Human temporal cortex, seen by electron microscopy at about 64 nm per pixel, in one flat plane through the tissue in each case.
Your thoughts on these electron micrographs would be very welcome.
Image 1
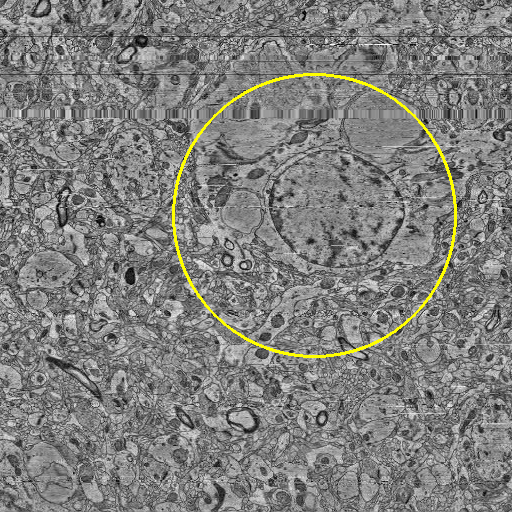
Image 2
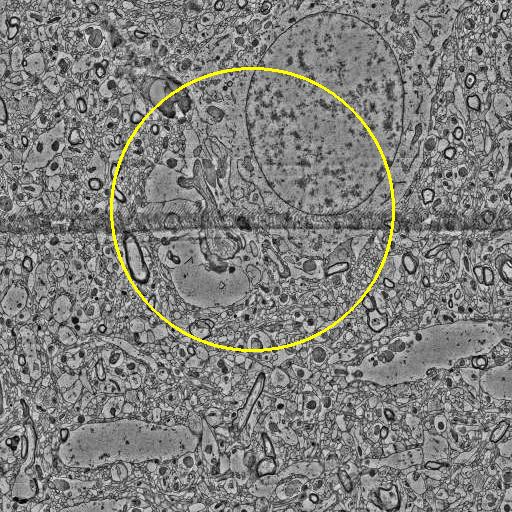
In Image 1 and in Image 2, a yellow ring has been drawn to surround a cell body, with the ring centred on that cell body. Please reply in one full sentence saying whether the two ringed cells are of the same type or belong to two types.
The ringed cells in Image 1 and Image 2 belong to two types.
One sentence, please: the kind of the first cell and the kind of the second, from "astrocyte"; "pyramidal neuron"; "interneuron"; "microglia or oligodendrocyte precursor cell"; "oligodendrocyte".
The ring in the first picture surrounds an astrocyte, and the ring in the second surrounds an oligodendrocyte.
